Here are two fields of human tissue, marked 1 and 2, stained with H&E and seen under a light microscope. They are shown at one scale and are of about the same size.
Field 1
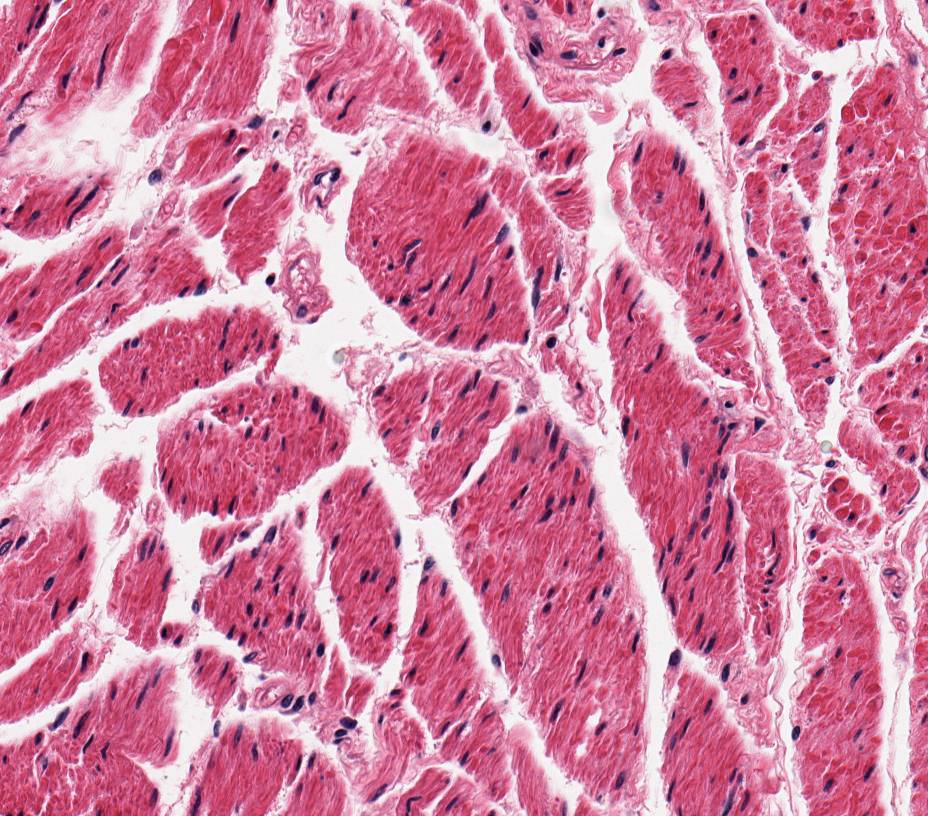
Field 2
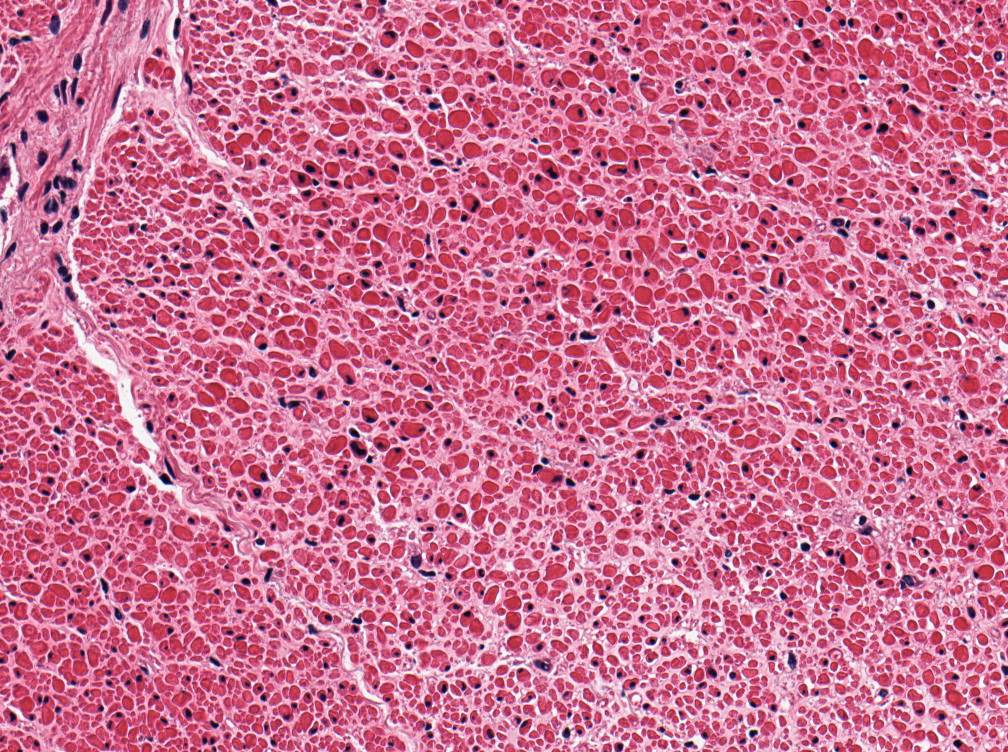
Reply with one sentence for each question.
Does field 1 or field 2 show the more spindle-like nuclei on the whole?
The nuclei are more elongated in field 1.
